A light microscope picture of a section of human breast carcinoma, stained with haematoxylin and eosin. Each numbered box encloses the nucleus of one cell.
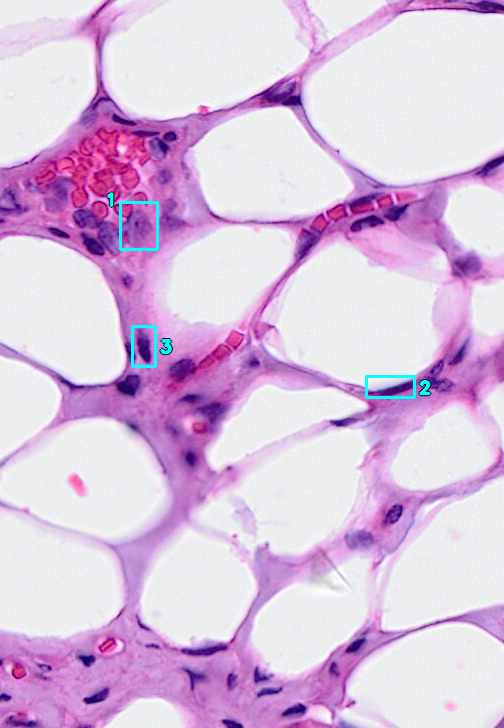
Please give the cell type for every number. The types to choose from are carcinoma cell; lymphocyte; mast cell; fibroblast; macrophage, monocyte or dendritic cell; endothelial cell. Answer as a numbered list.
1. endothelial cell
2. endothelial cell
3. fibroblast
